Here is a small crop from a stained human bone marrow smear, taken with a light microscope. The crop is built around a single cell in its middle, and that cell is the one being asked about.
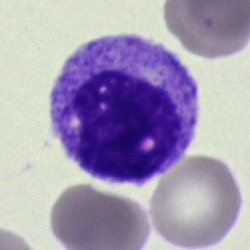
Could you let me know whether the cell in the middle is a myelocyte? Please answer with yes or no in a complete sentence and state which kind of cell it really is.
Yes, the cell at the centre of the field is a myelocyte.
